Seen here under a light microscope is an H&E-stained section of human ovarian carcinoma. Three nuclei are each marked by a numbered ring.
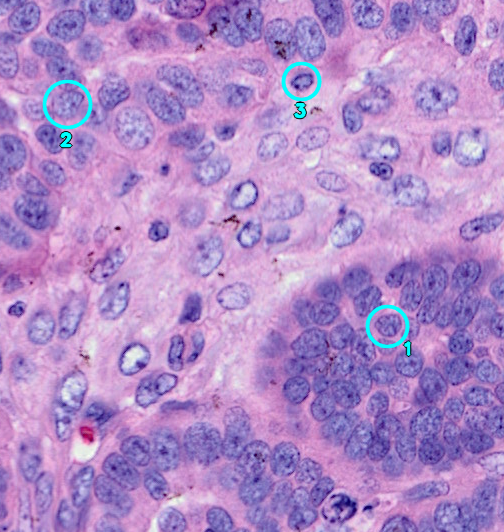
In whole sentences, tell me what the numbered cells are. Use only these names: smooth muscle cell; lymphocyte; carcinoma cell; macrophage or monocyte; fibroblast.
Cells 1 and 2 are carcinoma cells. Cell 3 is a macrophage or monocyte.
